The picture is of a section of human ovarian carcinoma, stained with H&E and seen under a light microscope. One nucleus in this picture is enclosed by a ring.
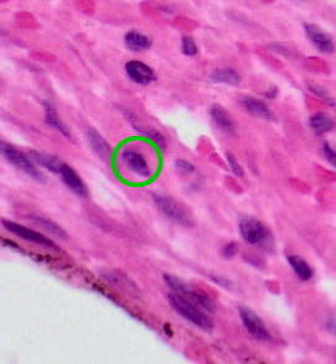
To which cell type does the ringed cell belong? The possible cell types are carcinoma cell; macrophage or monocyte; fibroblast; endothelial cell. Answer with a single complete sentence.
In short, the ringed cell on this section is a fibroblast.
